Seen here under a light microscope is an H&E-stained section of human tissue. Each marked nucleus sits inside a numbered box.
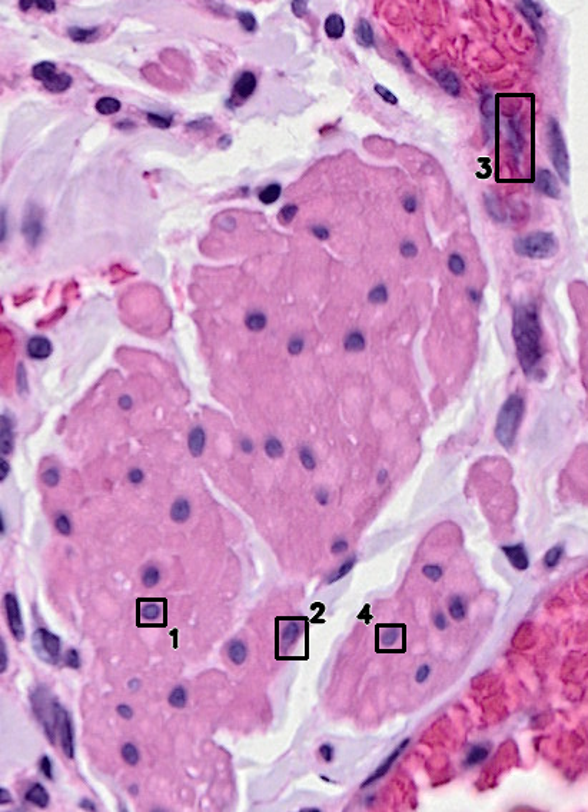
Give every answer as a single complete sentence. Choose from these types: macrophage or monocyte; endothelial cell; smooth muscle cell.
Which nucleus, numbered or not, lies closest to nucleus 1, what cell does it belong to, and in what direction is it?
The closest nucleus belongs to a smooth muscle cell and sits above nucleus 1.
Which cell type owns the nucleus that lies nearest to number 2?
The cell nearest to number 2 is a smooth muscle cell.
